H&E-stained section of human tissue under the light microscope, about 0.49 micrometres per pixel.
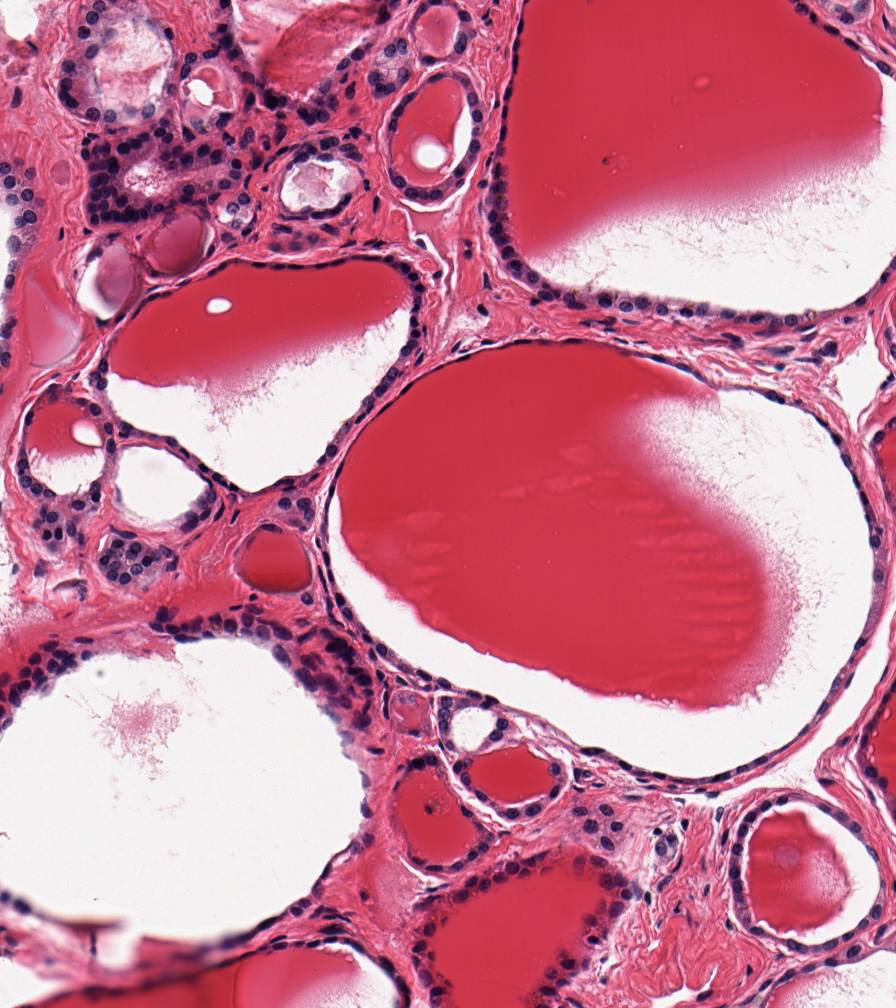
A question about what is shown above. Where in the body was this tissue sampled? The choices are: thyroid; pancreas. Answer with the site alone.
thyroid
